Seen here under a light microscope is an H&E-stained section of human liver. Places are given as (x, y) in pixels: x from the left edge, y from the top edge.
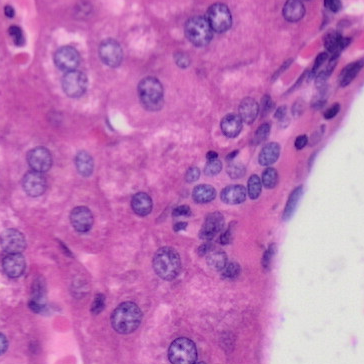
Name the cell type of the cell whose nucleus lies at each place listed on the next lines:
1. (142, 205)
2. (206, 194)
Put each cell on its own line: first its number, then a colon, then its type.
1: hepatocyte
2: cholangiocyte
